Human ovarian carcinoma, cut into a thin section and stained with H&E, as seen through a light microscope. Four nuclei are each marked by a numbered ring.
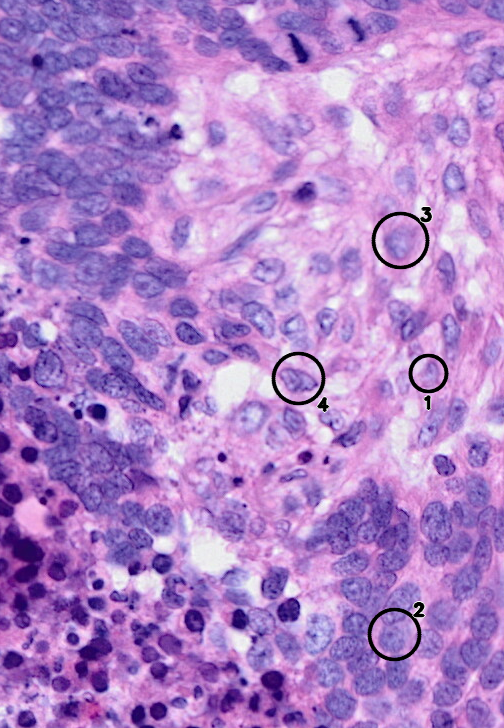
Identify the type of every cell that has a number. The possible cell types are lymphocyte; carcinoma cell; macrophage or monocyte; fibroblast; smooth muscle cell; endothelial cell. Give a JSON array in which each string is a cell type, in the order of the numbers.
["fibroblast", "carcinoma cell", "fibroblast", "fibroblast"]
